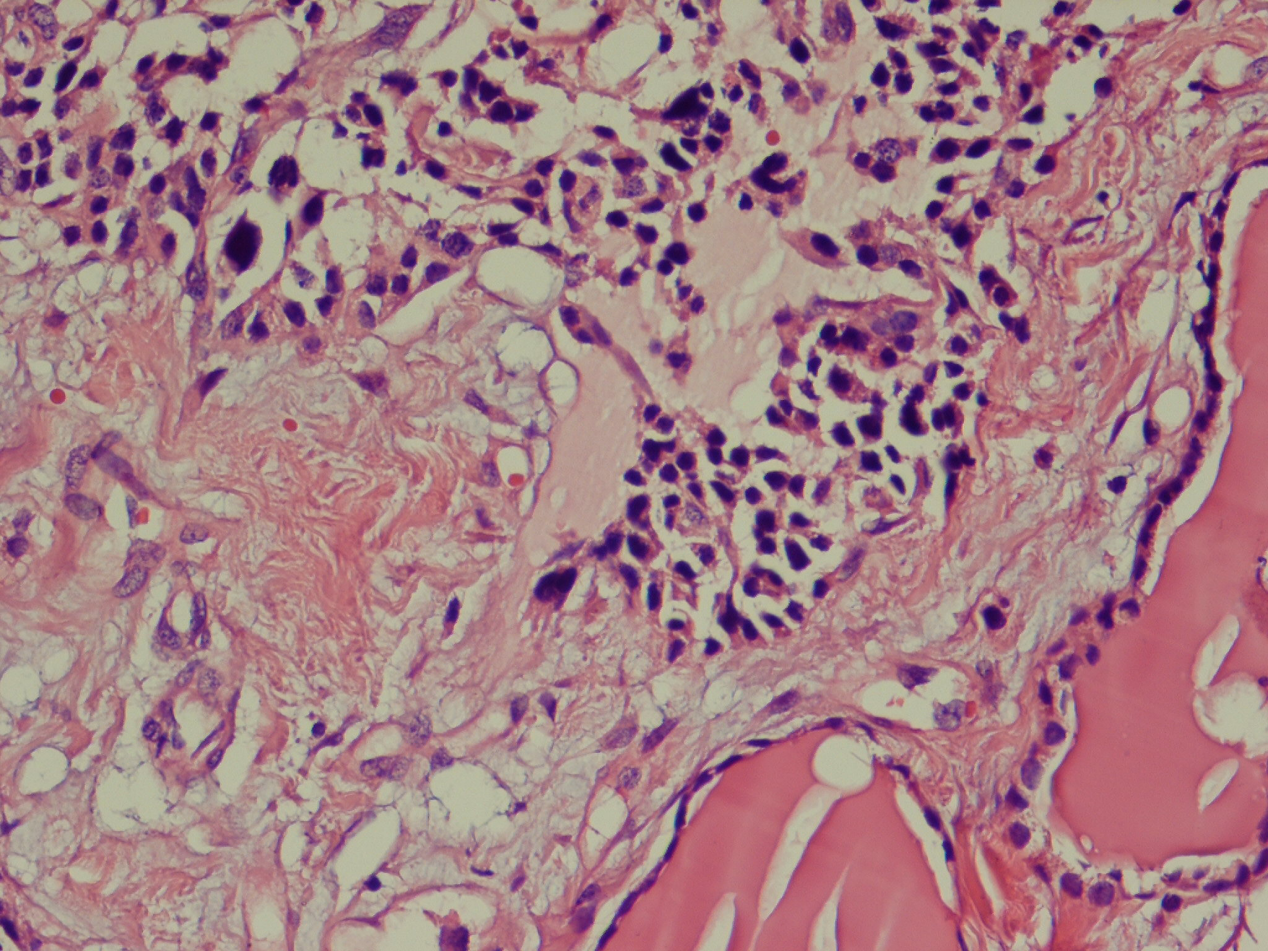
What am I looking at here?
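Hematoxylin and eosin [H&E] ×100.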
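This section shows a sheet of polygonal cells lying next to thyroid follicles. The polygonal cells crowd the upper part of the field. Their nuclei are dark and range from round to elongated, with clumped chromatin, and a few are enlarged. Between and beside them lies pale pink, amorphous to finely fibrillar material with many clear vacuoles. At the lower right, follicles filled with homogeneous pink colloid are lined by a single layer of flattened cells.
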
